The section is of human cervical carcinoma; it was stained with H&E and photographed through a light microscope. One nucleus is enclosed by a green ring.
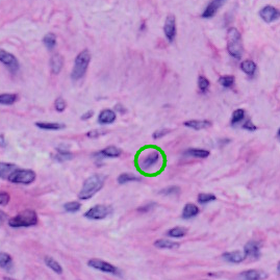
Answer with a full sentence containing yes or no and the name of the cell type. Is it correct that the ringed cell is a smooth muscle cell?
Yes, the ringed cell has been identified as a smooth muscle cell.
